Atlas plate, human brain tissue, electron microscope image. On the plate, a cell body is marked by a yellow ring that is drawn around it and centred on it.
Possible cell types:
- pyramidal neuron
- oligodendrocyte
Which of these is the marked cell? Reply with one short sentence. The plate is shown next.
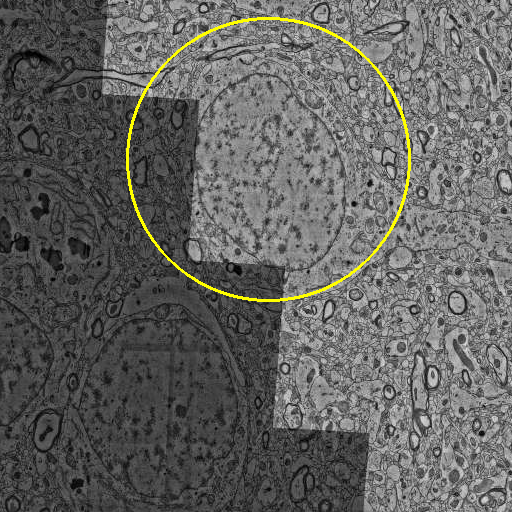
The marked cell is a pyramidal neuron.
